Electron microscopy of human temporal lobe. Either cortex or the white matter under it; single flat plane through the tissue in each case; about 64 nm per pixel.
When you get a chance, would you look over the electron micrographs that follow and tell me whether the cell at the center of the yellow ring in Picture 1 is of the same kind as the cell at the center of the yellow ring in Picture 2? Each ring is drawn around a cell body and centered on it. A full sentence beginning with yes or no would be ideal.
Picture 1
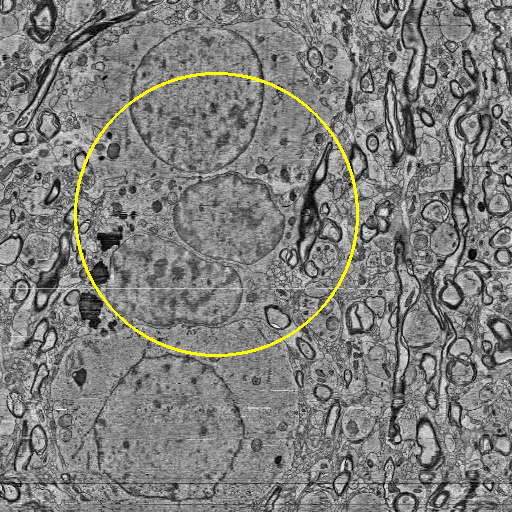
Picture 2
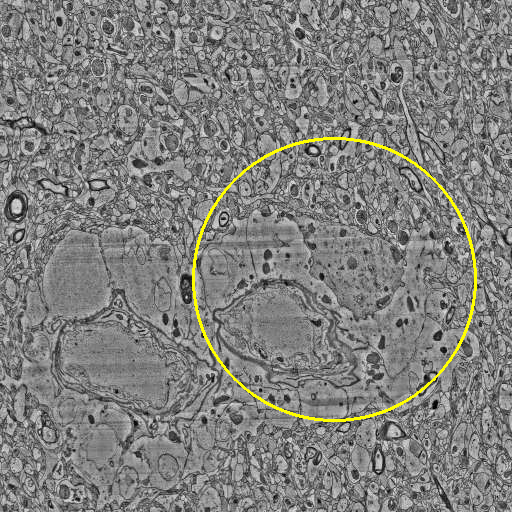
Yes, the two cells are of the same kind.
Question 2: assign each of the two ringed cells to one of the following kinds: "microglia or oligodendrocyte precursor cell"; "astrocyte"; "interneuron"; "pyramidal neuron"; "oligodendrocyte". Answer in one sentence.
The ring centre holds an oligodendrocyte in each of the two pictures.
